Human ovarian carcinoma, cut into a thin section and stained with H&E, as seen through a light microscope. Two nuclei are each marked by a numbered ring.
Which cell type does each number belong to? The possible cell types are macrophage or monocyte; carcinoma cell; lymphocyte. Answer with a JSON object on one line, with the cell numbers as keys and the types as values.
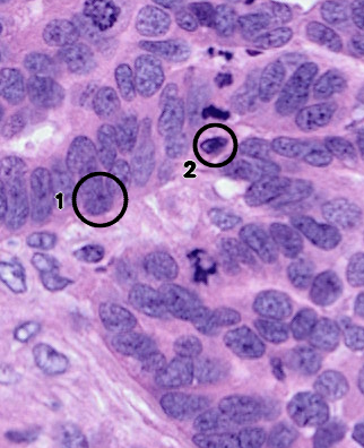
{"1": "carcinoma cell", "2": "lymphocyte"}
